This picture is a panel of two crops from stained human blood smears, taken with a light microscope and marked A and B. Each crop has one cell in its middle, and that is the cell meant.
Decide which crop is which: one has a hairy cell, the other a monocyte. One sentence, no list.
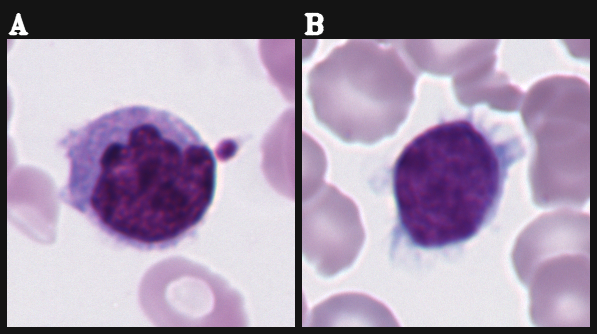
Crop A corresponds to a monocyte, and crop B corresponds to a hairy cell.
